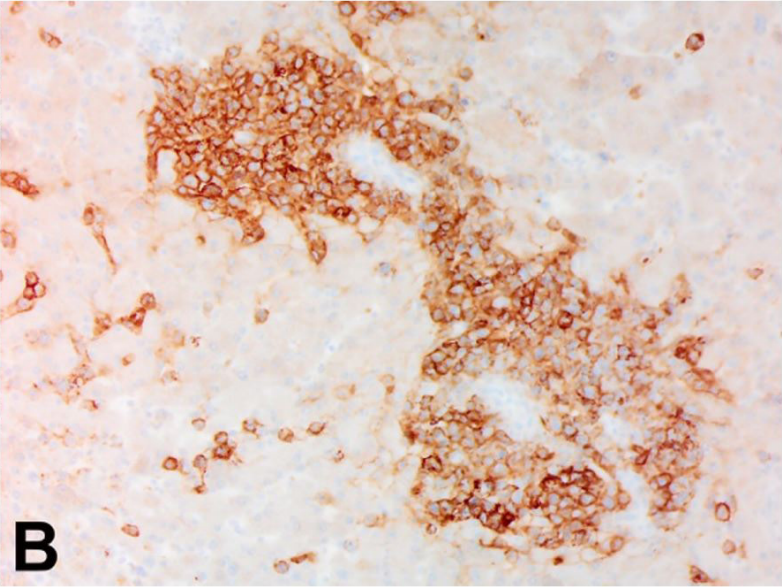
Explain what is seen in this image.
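Liver tissue with an infiltrate of lymphoid cells picked out by brown membrane staining against the pale, unstained hepatocytes. The infiltrating cells are small and round, tightly packed into an irregular, branching sheet, each outlined by a brown ring around a pale bluish nucleus. The surrounding hepatocytes are large, pale polygonal cells with faint nuclei. Beyond the main sheet, single brown-rimmed cells and small clusters lie within the sinusoids, showing that the lymphoid cells spread between the hepatocyte cords rather than staying in one compact mass.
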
